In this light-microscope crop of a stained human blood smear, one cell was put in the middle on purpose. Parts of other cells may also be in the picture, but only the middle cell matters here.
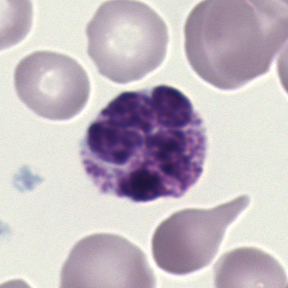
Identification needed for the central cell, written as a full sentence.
The cell in the middle of this crop is a basophil.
